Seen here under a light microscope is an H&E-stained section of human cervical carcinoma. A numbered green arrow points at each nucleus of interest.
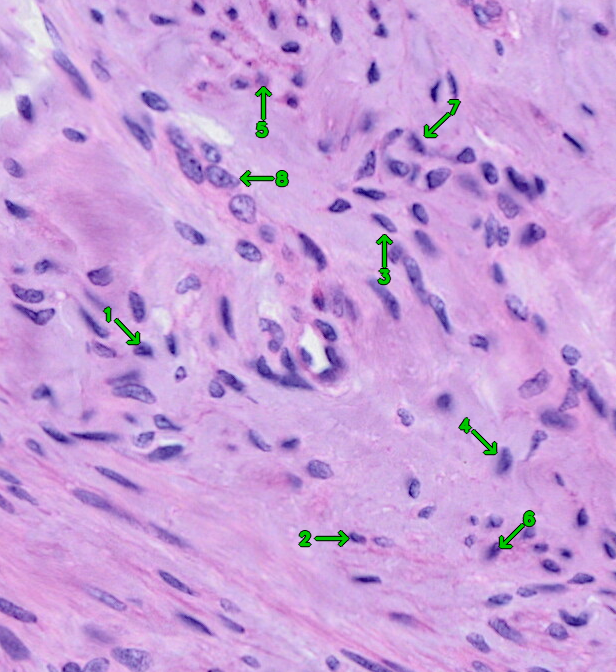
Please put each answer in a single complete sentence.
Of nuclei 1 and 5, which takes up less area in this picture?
Number 5 is smaller, since number 1 takes up about 2.5 times as much area.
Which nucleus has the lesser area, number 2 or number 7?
It is nucleus 2; nucleus 7 has about 2 times its area.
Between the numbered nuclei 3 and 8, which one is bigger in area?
It is nucleus 8, which covers about 2 times the area of nucleus 3.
